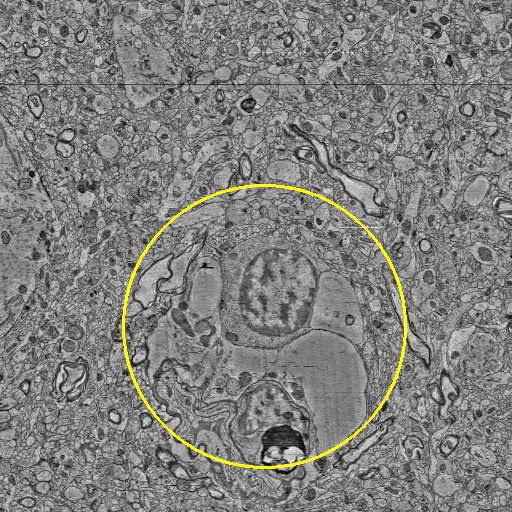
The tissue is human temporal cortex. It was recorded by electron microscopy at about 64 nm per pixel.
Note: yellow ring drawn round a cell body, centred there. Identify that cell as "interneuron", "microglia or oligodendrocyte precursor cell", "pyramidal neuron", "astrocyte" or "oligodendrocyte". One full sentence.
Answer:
The cell in the middle of the ring is an oligodendrocyte.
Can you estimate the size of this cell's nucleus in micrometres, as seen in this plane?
In this plane, the nucleus is roughly 6 by 5 micrometres.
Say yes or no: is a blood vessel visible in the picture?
Yes.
